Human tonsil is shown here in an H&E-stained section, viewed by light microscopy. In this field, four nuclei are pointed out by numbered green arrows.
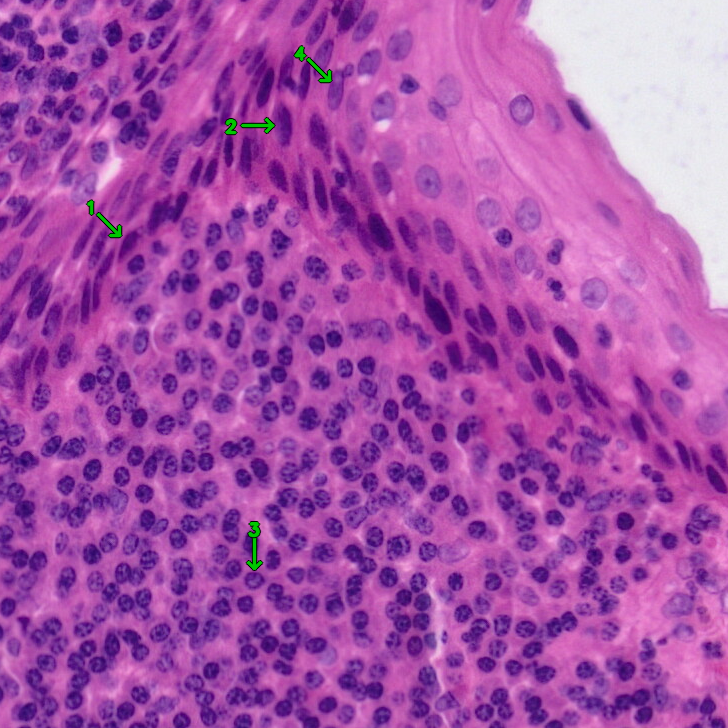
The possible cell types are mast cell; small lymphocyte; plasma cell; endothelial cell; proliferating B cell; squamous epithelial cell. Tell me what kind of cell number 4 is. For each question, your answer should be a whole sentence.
The cell marked with the number 4 is a squamous epithelial cell.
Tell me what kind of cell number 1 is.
In this section, number 1 marks a squamous epithelial cell.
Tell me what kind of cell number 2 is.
The marked cell bearing number 2 is a squamous epithelial cell.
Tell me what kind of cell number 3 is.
The cell whose nucleus carries the number 3 is a plasma cell.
